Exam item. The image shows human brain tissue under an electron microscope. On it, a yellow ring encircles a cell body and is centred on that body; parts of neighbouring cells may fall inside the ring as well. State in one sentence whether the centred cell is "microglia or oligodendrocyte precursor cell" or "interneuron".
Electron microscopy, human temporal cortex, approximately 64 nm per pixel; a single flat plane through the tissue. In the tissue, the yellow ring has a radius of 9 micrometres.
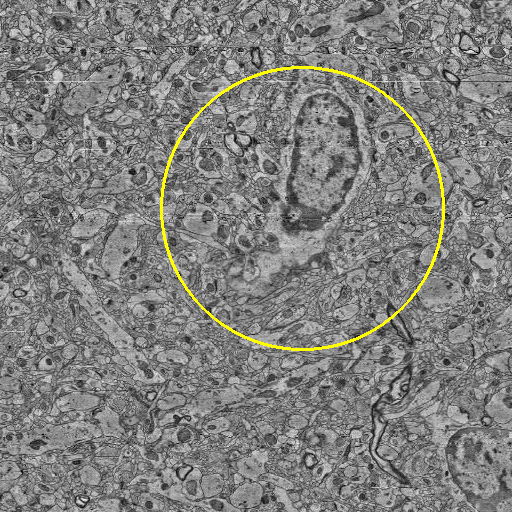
The cell body centred in the ring is a microglial cell or oligodendrocyte precursor cell.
